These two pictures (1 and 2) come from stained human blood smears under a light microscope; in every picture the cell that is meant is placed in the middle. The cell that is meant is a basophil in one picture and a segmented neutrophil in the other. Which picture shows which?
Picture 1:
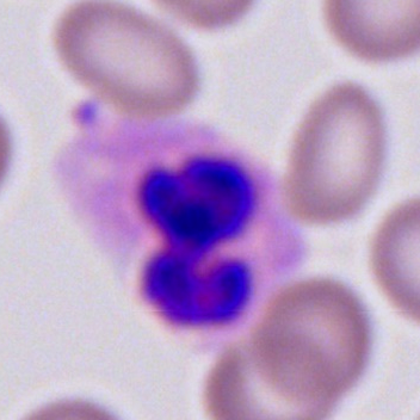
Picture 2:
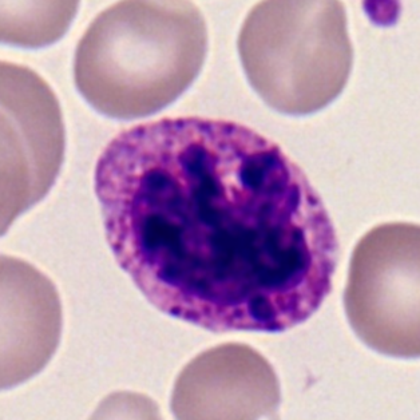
1: segmented neutrophil
2: basophil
